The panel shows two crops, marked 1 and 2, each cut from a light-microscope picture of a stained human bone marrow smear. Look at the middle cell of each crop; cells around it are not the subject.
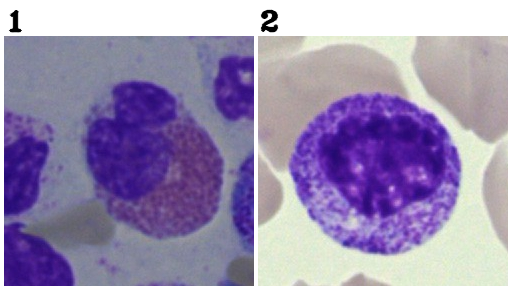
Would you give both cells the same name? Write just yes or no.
no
